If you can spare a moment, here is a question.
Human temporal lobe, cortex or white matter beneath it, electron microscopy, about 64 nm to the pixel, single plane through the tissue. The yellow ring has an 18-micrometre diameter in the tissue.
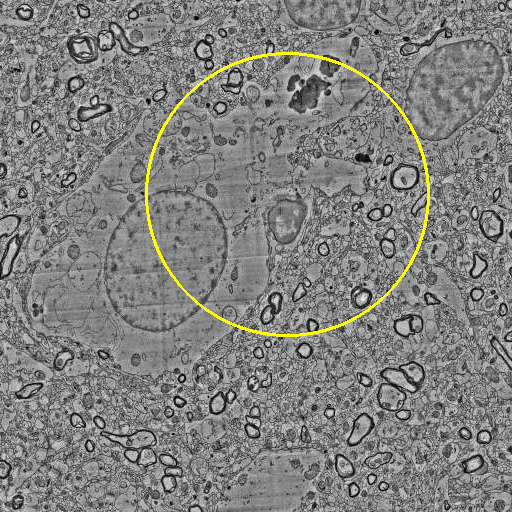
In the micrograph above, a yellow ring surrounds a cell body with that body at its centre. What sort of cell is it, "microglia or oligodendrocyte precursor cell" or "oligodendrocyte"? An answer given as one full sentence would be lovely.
Centred inside the yellow ring, the cell body shown belongs to a microglial cell or oligodendrocyte precursor cell in this micrograph.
